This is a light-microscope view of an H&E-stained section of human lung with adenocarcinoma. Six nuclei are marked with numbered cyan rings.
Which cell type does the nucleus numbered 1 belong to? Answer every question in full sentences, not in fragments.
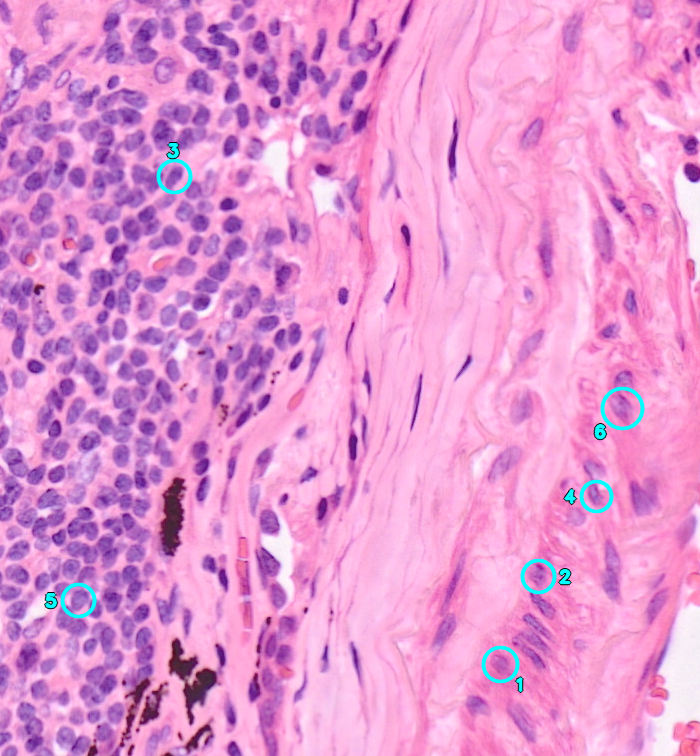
The correct label for cell 1 is a smooth muscle cell or pericyte.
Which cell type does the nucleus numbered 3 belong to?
The cell with the number 3 is a lymphocyte.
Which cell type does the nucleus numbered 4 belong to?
The cell identified by number 4 is a smooth muscle cell or pericyte.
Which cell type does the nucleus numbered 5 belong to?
In this section, number 5 marks a lymphocyte.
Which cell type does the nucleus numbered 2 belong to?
Cell 2 in the field is a smooth muscle cell or pericyte.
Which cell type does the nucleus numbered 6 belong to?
The cell numbered 6 represents a smooth muscle cell or pericyte.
